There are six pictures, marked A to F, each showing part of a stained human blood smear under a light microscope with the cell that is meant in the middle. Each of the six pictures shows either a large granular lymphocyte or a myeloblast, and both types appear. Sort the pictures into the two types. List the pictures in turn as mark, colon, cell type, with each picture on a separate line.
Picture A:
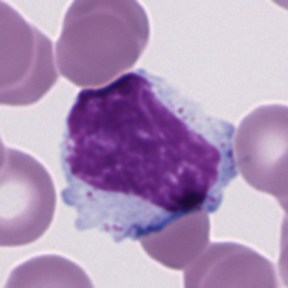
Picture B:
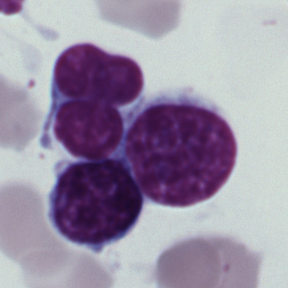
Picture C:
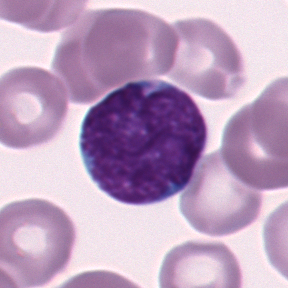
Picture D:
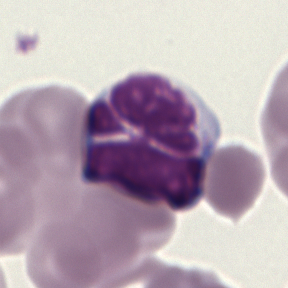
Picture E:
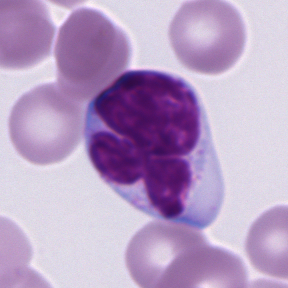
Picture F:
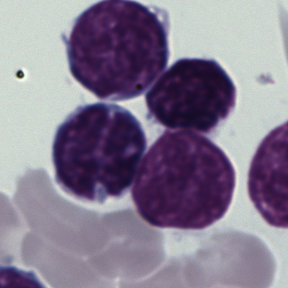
A: large granular lymphocyte
B: myeloblast
C: myeloblast
D: large granular lymphocyte
E: large granular lymphocyte
F: myeloblast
